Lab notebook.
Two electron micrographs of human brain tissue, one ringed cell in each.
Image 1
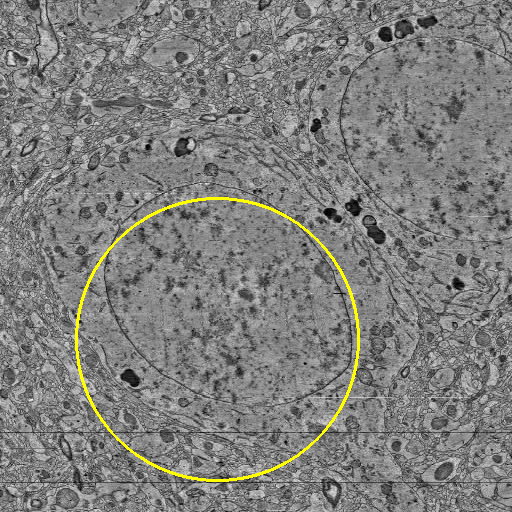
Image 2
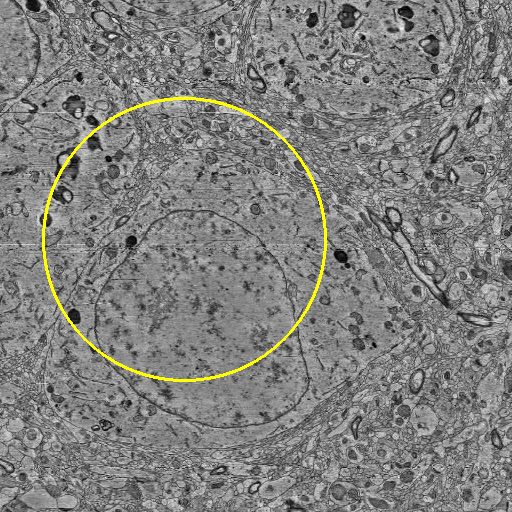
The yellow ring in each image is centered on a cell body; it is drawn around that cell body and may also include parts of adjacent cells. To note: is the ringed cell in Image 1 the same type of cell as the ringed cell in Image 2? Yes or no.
yes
